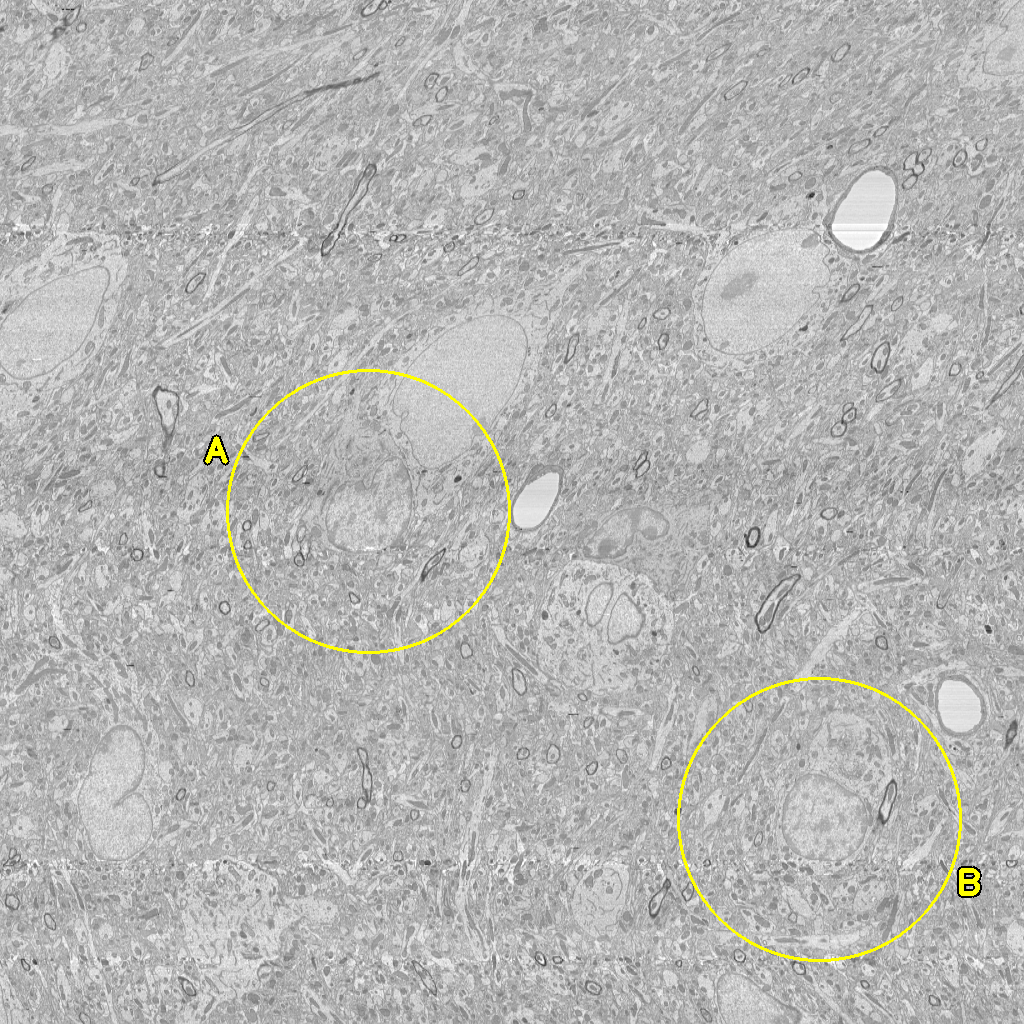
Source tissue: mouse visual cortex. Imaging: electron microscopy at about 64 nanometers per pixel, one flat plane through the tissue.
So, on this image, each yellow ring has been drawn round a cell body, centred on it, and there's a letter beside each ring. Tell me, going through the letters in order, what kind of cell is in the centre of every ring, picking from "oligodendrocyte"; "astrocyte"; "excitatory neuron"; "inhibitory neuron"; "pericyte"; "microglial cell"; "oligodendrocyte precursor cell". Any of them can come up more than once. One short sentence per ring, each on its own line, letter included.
Ring A has been drawn round an oligodendrocyte.
Ring B has been drawn round an oligodendrocyte.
